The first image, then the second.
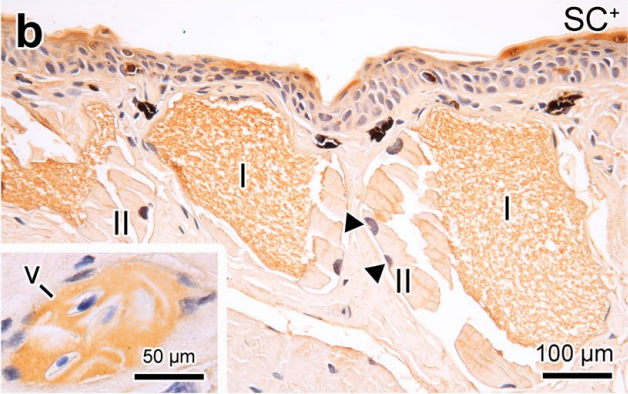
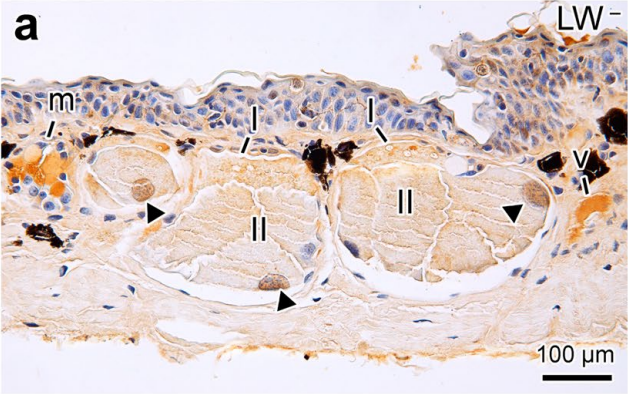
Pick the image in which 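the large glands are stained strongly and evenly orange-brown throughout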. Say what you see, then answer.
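Second image: the large glands are pale beige, with only small patches of orange. First image: the large glands are filled with granular material stained intensely orange-brown.
Hence: the first image.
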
